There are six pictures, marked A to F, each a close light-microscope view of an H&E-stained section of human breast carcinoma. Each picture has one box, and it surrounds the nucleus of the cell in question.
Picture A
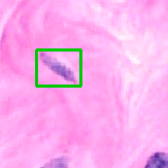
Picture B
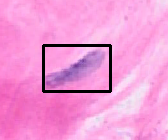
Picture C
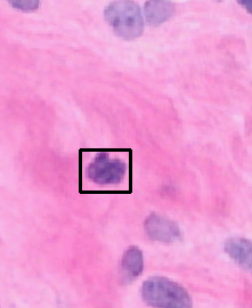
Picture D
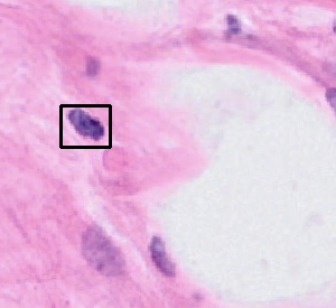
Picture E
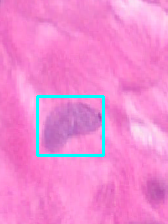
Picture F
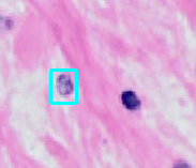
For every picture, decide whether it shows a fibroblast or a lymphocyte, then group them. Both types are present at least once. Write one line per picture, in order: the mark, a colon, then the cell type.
A: fibroblast
B: fibroblast
C: lymphocyte
D: lymphocyte
E: fibroblast
F: lymphocyte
